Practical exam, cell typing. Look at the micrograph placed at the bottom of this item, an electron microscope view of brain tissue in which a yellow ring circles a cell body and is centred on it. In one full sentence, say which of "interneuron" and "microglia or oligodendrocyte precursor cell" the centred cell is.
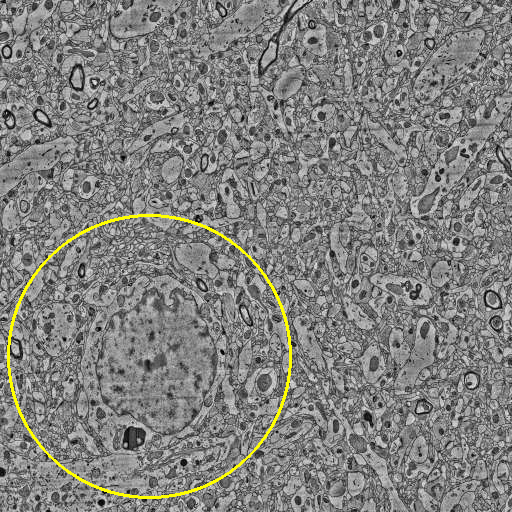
Given the options, an interneuron fits the cell whose body the yellow ring is centred on.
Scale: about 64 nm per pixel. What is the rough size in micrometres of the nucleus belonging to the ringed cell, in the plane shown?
About 9 by 8 micrometers, in this plane.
